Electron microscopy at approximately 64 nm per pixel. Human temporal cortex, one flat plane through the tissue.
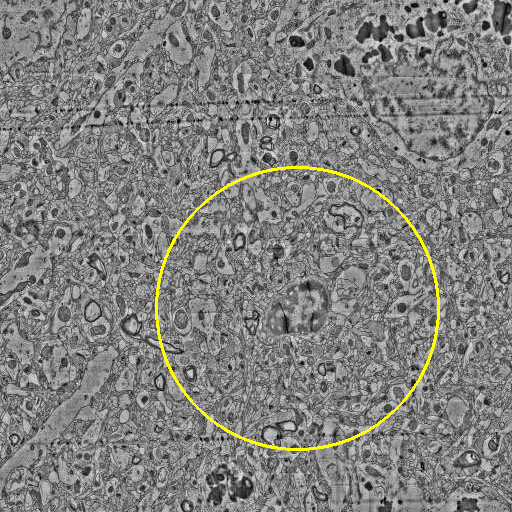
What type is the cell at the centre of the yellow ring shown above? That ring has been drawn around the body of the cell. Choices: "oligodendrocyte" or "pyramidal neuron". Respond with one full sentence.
My answer is that an oligodendrocyte lies at the centre of the yellow ring above.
